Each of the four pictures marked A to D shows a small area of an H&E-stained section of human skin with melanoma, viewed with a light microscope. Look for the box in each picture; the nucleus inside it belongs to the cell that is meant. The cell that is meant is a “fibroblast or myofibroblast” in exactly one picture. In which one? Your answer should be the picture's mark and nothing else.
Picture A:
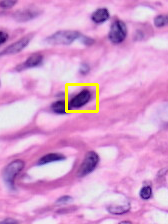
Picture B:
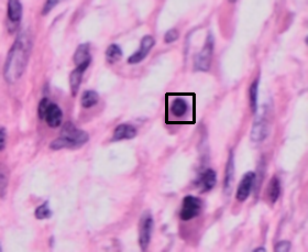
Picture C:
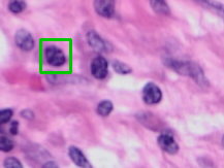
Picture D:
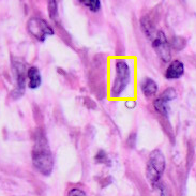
D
